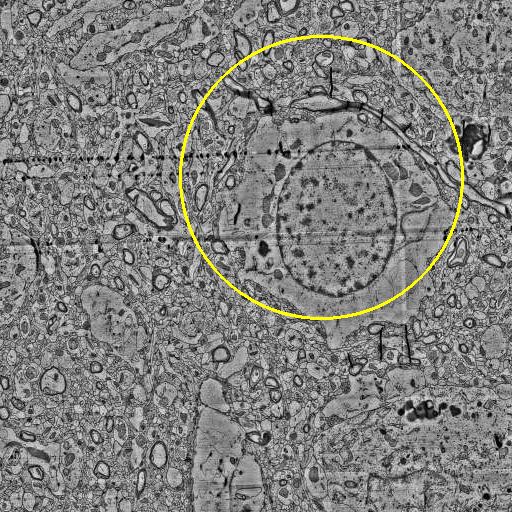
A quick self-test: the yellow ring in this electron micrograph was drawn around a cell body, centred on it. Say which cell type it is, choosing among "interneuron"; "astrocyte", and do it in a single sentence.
The yellow-ringed cell is an astrocyte.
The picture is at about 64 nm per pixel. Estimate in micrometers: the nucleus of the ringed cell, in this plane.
In this plane, the nucleus of the cell at the centre of the ring measures about 10 by 8 micrometres.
